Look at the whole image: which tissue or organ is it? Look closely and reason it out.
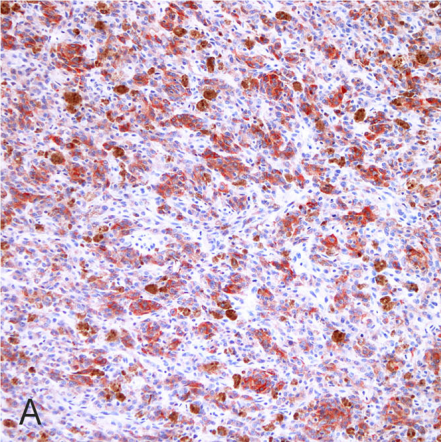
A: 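Sheets of densely packed spindle to polygonal cells. Many cells carry coarse dark brown pigment in their cytoplasm.
Conclusion: melanoma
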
